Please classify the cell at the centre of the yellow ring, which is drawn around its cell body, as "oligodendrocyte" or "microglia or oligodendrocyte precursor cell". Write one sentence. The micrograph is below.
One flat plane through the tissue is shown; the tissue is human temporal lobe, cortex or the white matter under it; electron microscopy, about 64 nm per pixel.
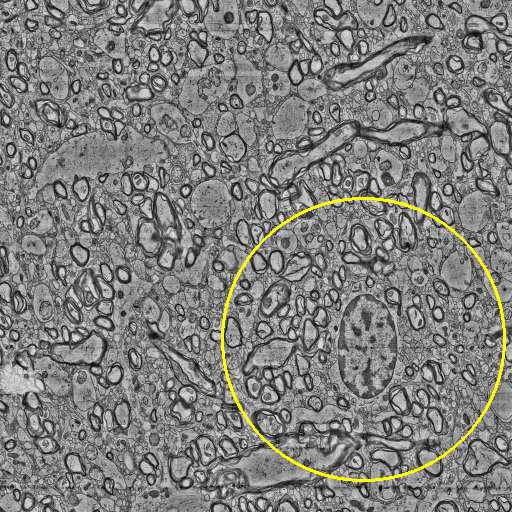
The cell at the ring's centre is classified as a microglial cell or oligodendrocyte precursor cell.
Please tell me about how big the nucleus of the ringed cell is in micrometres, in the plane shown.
In this plane, about 6 micrometres in length and 4 in width.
